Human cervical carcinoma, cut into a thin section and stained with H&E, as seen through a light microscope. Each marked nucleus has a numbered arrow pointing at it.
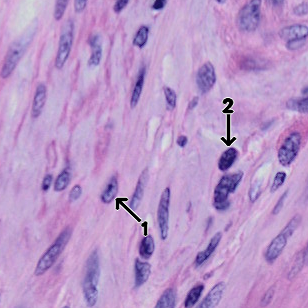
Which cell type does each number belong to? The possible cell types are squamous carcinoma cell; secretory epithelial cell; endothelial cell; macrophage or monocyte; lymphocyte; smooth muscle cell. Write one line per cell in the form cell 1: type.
cell 1: smooth muscle cell
cell 2: lymphocyte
